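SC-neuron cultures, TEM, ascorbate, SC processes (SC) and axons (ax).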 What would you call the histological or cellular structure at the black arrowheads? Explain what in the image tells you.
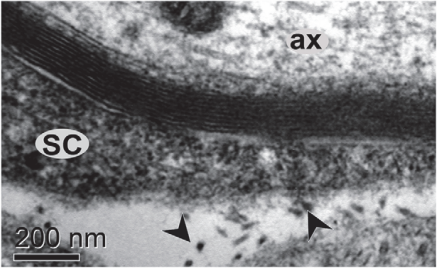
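Extracellular collagen fibers. Small dark fibrillar profiles lie in the extracellular space outside the cell process. They are scattered outside the cell membrane, not inside the cytoplasm.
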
